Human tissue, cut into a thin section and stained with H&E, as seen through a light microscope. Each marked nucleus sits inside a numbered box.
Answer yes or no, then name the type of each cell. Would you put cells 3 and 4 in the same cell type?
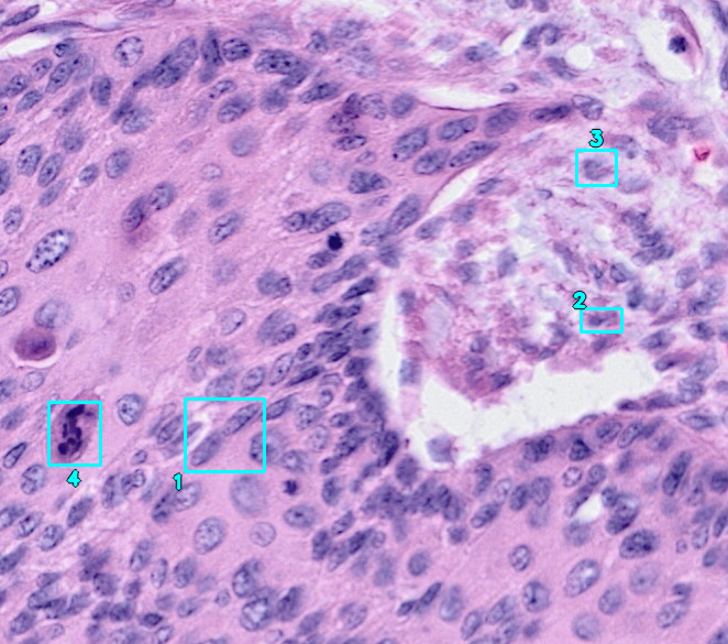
No, cell 3 is a fibroblast and cell 4 is a squamous carcinoma cell.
